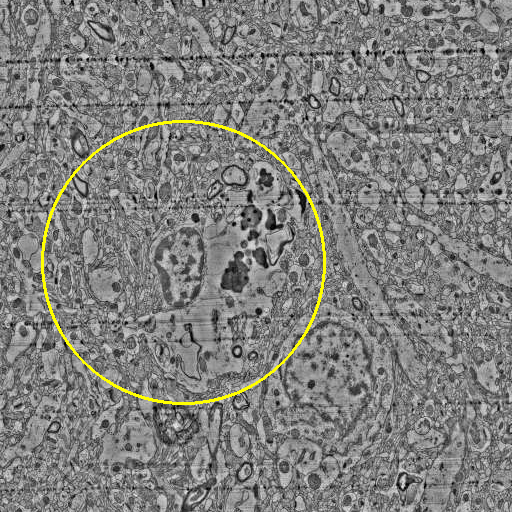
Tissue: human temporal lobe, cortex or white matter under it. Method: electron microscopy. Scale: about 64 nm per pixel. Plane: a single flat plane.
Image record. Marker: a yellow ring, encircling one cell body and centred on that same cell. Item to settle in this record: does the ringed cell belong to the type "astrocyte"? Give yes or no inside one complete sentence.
No, in the picture, the cell centred within the yellow ring is of a different type.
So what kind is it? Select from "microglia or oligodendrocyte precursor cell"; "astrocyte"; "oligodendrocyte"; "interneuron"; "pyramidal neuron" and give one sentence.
So the cell at the centre is a microglial cell or oligodendrocyte precursor cell.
